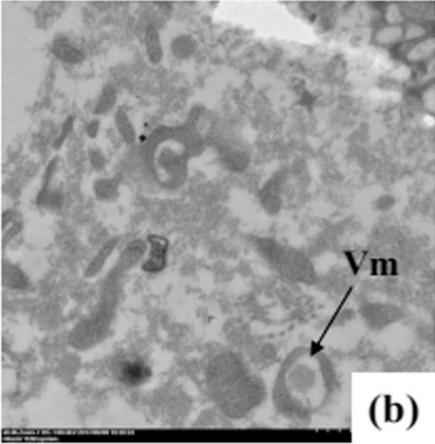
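Mitochondria vary in shape, and several contain a clear central space surrounded by a denser rim. Elongated dark membrane profiles lie scattered among them.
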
